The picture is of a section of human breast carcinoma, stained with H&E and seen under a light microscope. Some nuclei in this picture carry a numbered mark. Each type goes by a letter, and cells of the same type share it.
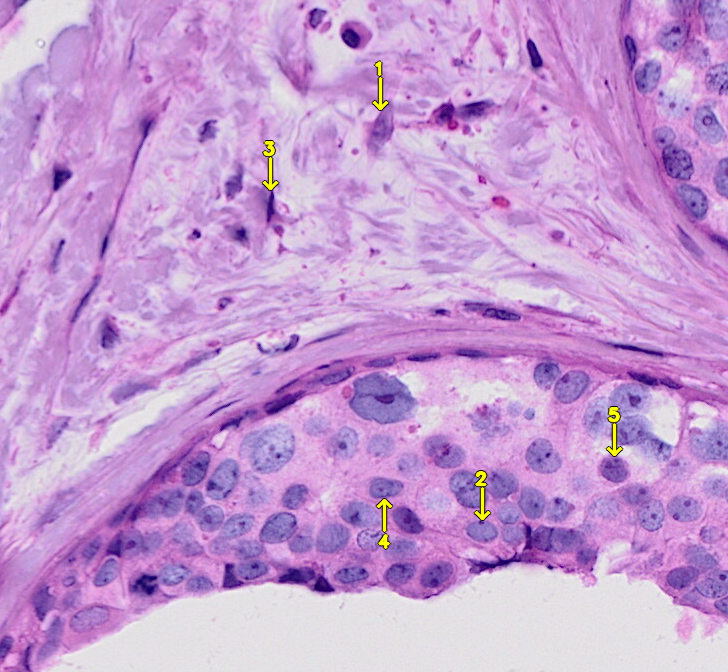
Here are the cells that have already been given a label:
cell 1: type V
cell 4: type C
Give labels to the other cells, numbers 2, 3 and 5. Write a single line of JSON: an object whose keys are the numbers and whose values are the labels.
{"2": "type C", "3": "type V", "5": "type C"}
